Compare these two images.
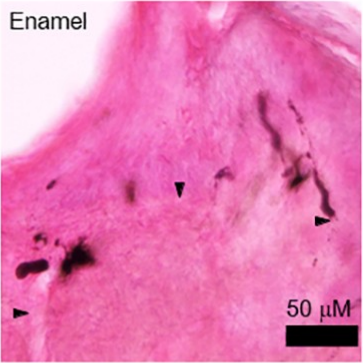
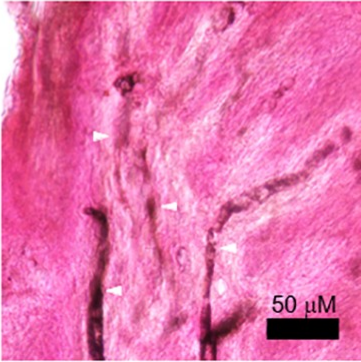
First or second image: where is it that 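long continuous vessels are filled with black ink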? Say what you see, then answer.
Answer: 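The second image. Second image: several long, continuous black ink-filled vessels run through the tissue. First image: only a few short, scattered black ink fragments are seen in mostly pale pink tissue.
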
